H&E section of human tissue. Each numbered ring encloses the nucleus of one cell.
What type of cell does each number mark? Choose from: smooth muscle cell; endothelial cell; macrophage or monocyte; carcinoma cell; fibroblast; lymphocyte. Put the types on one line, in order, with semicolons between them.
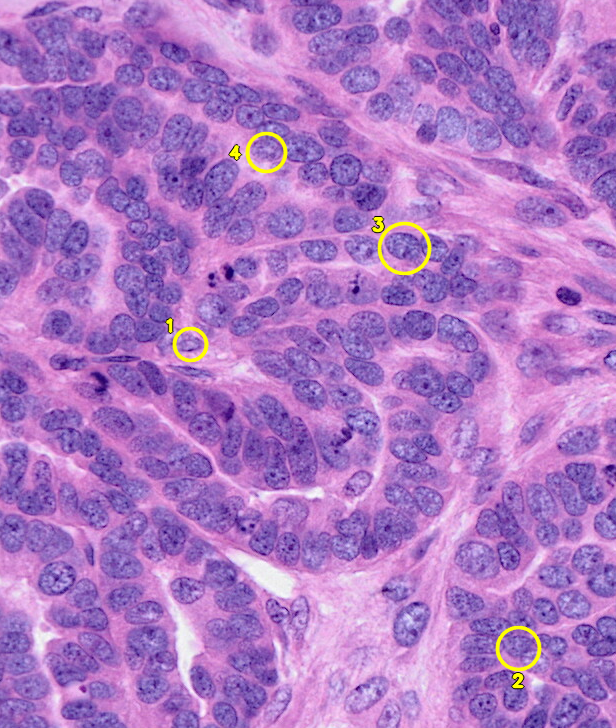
fibroblast; carcinoma cell; carcinoma cell; carcinoma cell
